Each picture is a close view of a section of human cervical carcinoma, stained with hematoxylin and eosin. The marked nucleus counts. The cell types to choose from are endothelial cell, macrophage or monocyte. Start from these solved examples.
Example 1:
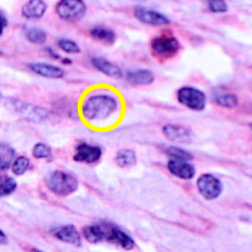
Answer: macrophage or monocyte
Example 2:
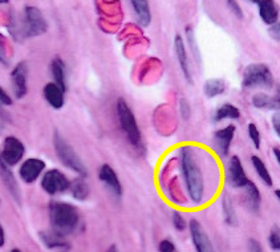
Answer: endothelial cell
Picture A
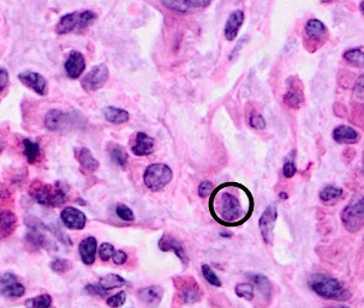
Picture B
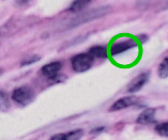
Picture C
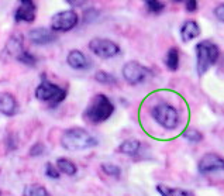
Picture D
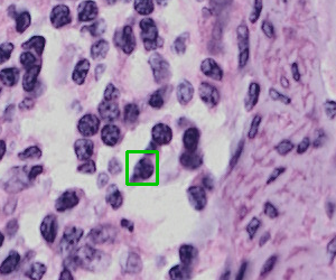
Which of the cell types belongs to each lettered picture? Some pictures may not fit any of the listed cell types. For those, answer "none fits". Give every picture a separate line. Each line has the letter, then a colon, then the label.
A: macrophage or monocyte
B: none fits
C: macrophage or monocyte
D: none fits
